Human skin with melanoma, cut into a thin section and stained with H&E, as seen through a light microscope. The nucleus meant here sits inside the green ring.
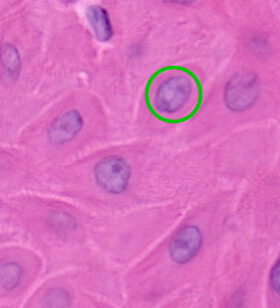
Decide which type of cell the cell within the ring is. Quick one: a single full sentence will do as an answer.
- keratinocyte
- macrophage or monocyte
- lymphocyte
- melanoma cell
On this particular slide, the cell within the ring is a keratinocyte.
